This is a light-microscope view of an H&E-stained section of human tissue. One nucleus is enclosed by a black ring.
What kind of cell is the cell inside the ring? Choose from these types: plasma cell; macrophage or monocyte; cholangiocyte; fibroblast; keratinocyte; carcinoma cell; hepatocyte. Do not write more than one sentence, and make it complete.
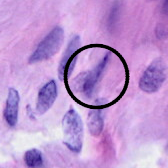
Cell type answer for this item: the cell inside the ring is a fibroblast.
